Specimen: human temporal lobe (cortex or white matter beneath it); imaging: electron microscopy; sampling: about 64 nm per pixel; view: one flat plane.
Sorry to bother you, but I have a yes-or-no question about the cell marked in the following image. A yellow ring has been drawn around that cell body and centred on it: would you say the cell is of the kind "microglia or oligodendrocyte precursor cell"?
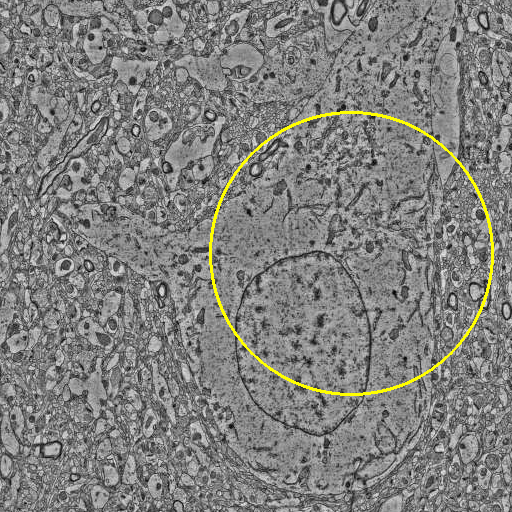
no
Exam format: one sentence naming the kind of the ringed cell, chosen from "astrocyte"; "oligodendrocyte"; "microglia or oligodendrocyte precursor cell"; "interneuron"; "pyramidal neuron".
This picture has a pyramidal neuron at the centre of its ring.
